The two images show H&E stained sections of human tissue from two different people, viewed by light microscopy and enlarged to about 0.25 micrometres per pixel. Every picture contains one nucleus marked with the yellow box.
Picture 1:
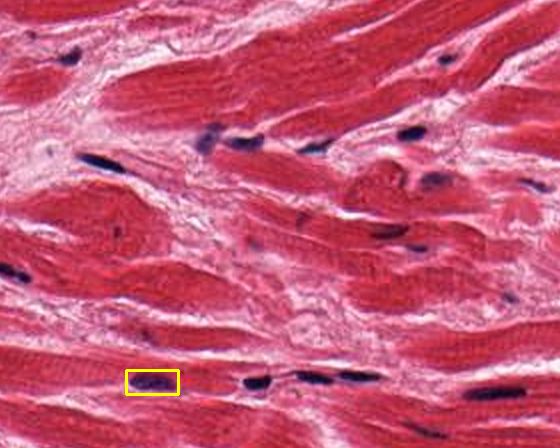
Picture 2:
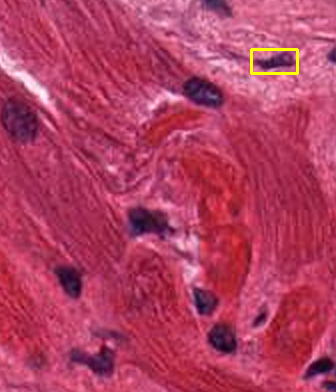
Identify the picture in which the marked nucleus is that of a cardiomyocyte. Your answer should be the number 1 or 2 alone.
1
